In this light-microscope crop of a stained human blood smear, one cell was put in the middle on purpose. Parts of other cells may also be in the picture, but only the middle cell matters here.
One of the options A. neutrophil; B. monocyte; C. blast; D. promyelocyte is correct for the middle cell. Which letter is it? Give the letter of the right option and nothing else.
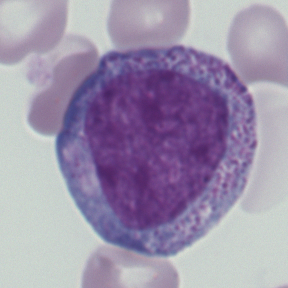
D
